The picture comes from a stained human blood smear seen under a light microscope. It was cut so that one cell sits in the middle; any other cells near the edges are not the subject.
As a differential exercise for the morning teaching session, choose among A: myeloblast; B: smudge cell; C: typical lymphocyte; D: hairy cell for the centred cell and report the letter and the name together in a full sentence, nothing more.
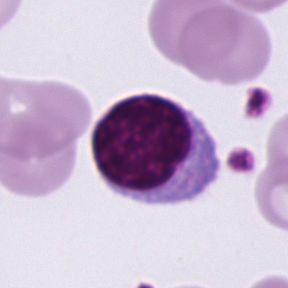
This one is option C, since the cell at the center is a typical lymphocyte.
